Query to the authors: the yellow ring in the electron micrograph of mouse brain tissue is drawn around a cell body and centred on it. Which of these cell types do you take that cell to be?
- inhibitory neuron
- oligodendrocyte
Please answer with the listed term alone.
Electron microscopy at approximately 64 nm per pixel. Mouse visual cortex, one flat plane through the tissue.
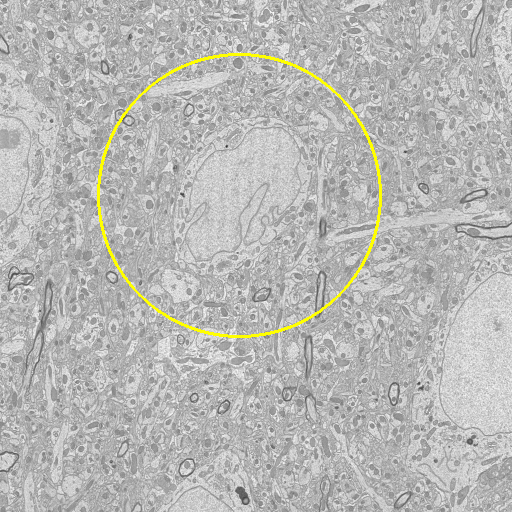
inhibitory neuron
